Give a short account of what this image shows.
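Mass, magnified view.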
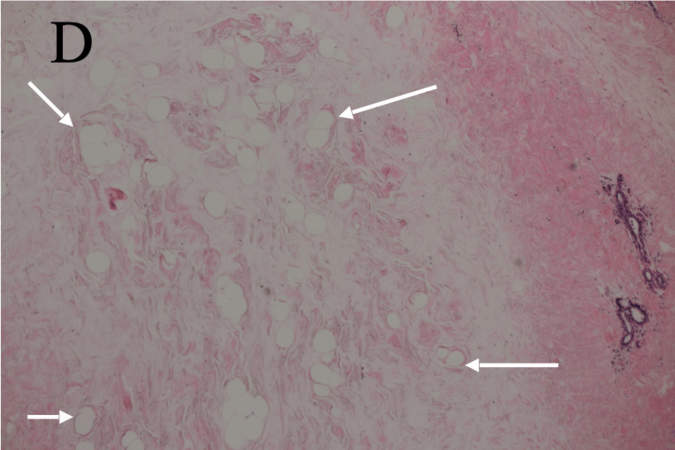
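Loose, pale pink fibrous stroma contains scattered small adipocytes, seen as round empty clear vacuoles of differing size with thin rims. Toward the right the stroma becomes denser and pinker, and a few small ducts with dark-nucleated linings lie at the edge.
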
